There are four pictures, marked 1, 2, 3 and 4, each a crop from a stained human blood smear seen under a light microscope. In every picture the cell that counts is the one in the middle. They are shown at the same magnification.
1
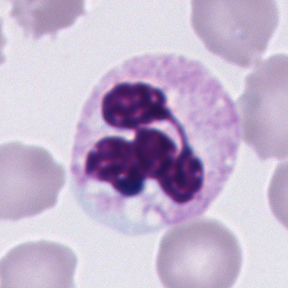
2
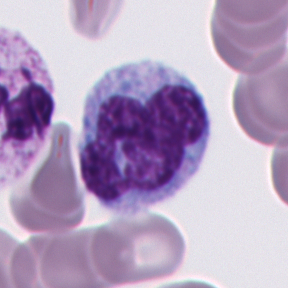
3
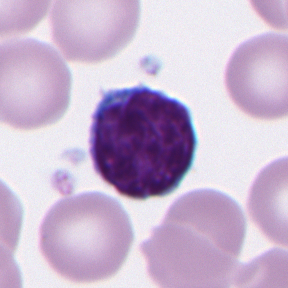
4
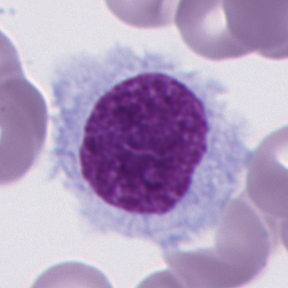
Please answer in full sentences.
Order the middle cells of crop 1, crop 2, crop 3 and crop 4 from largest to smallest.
From the largest down, the order is 4, 1, 2, 3.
